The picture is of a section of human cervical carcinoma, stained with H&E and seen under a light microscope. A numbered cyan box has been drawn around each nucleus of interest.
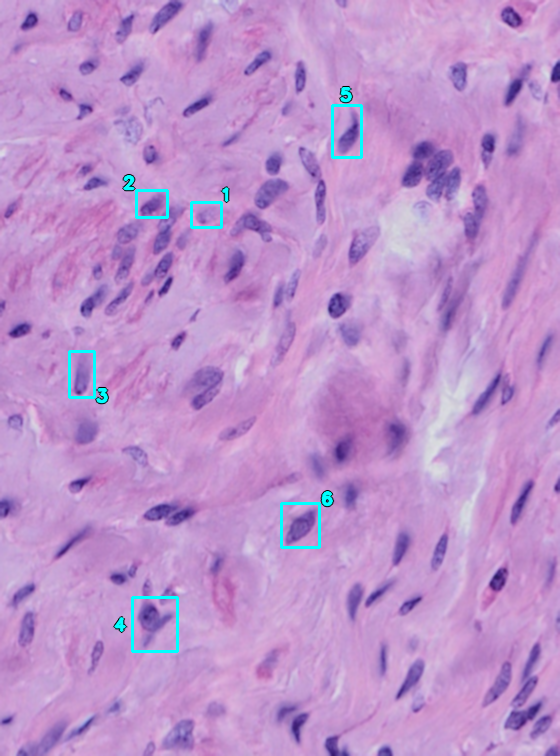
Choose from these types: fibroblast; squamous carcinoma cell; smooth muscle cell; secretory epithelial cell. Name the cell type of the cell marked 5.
fibroblast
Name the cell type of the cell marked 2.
smooth muscle cell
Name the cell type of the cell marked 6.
fibroblast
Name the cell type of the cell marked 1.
smooth muscle cell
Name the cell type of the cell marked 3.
fibroblast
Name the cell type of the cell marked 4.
fibroblast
